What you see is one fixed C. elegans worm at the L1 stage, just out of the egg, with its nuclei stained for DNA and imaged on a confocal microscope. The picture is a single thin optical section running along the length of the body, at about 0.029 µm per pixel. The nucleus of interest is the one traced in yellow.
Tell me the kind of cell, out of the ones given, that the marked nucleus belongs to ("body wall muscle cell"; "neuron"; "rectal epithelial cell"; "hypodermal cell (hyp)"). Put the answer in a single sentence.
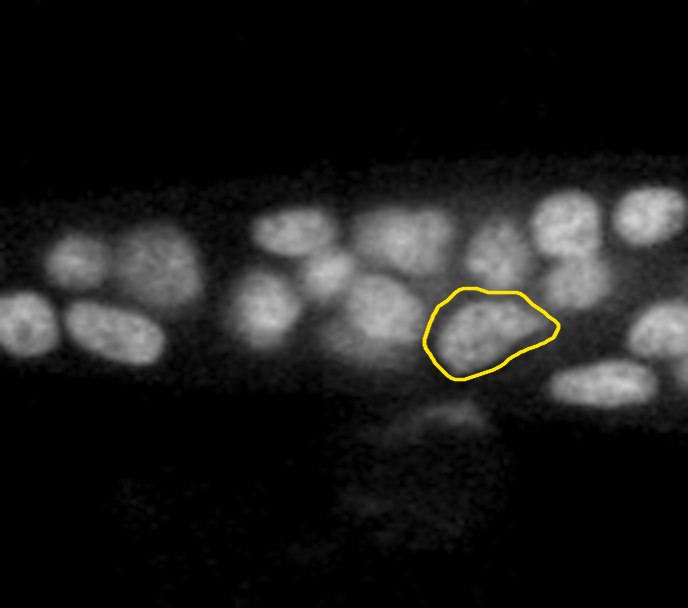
It is the nucleus of a rectal epithelial cell.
